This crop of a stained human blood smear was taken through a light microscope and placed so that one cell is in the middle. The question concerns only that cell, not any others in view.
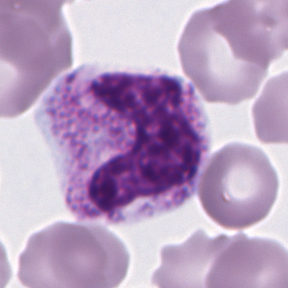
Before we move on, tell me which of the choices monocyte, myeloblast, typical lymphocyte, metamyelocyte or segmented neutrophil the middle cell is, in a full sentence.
Occupying the centre of the crop is a metamyelocyte.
